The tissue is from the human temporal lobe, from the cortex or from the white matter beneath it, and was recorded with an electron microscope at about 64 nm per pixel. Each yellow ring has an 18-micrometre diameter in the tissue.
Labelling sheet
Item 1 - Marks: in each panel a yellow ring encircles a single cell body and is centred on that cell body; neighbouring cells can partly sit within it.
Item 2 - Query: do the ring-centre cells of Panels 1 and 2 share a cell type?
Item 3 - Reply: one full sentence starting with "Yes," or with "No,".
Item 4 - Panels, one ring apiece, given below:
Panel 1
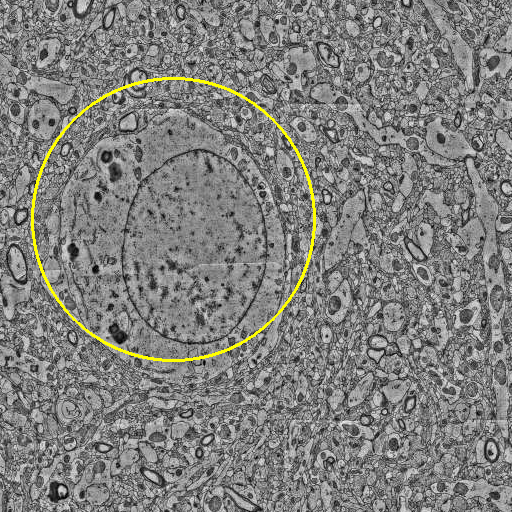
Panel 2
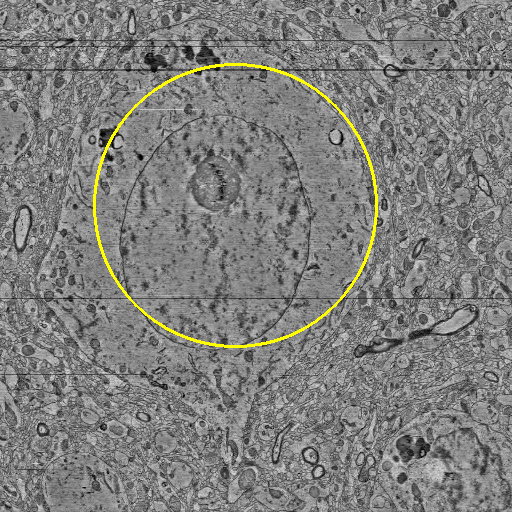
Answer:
Yes, Panel 1 and Panel 2 show one cell type at the centres of their rings.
